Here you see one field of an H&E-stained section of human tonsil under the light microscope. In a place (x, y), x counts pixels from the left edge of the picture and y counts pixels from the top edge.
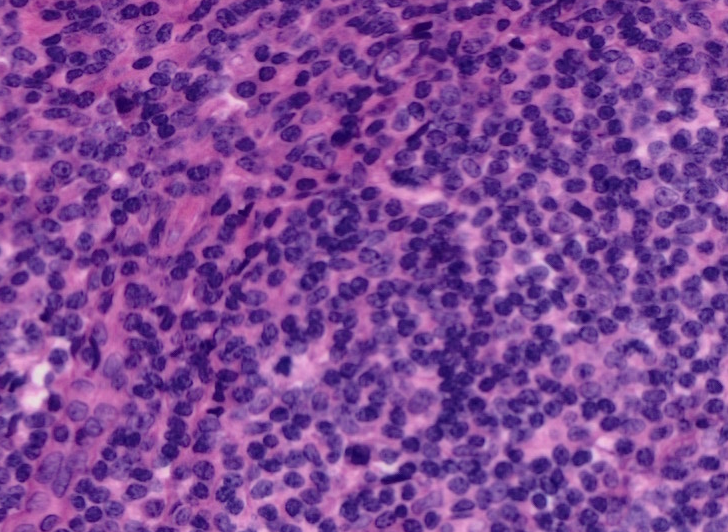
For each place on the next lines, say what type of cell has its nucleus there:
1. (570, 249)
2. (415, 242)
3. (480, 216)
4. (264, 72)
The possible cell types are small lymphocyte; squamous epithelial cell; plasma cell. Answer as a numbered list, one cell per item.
1. small lymphocyte
2. small lymphocyte
3. small lymphocyte
4. plasma cell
